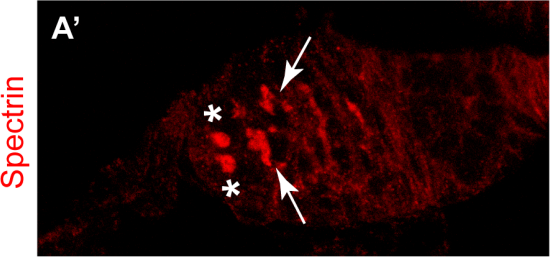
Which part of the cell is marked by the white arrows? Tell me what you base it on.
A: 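The arrows point to bright red irregular bodies with extensions. These lie just posterior to the small round red dots at the tip. The answer: branched fusomes.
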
